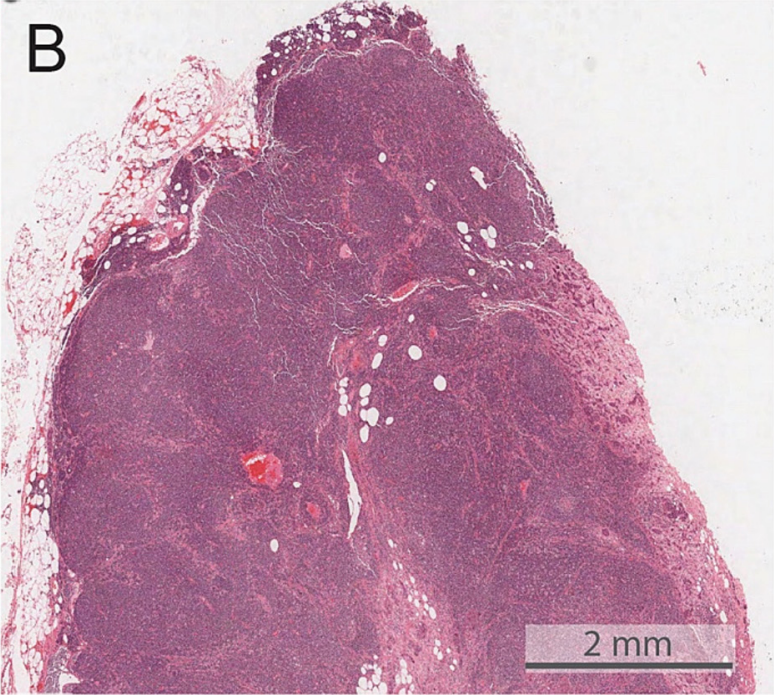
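This is a lymph node stained with hematoxylin and eosin, seen at low power, with no germinal centers to be found. The node is a broad, fairly uniform dark pink-purple mass of densely packed cells, divided into vague nodular zones by thin pale pink strands of connective tissue. No pale round follicle centers stand out anywhere. At the edge, loose pink connective tissue and clusters of empty round fat cells surround the node, and small fat vacuoles also lie within it. A small blood vessel filled with red cells is seen near the middle.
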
